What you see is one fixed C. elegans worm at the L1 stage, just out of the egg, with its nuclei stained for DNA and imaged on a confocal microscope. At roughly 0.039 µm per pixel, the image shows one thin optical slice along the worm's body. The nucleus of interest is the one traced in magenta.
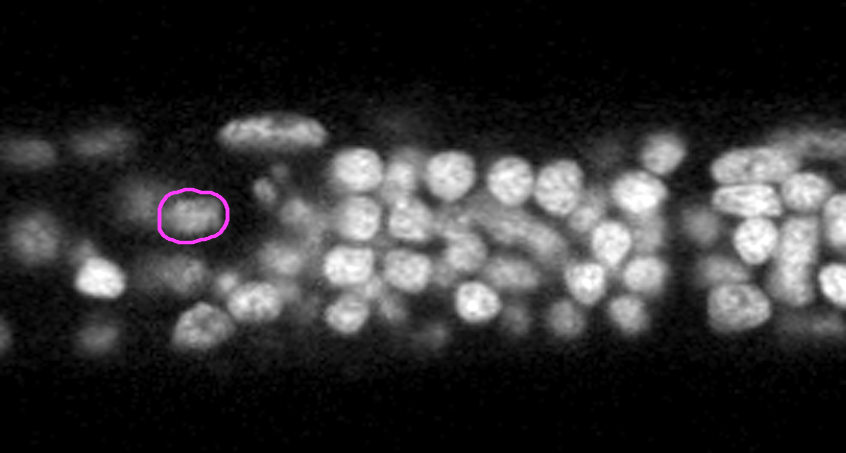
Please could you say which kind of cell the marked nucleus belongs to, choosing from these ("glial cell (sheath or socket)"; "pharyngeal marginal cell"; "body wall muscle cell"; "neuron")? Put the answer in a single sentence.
The marked nucleus is that of a pharyngeal marginal cell.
